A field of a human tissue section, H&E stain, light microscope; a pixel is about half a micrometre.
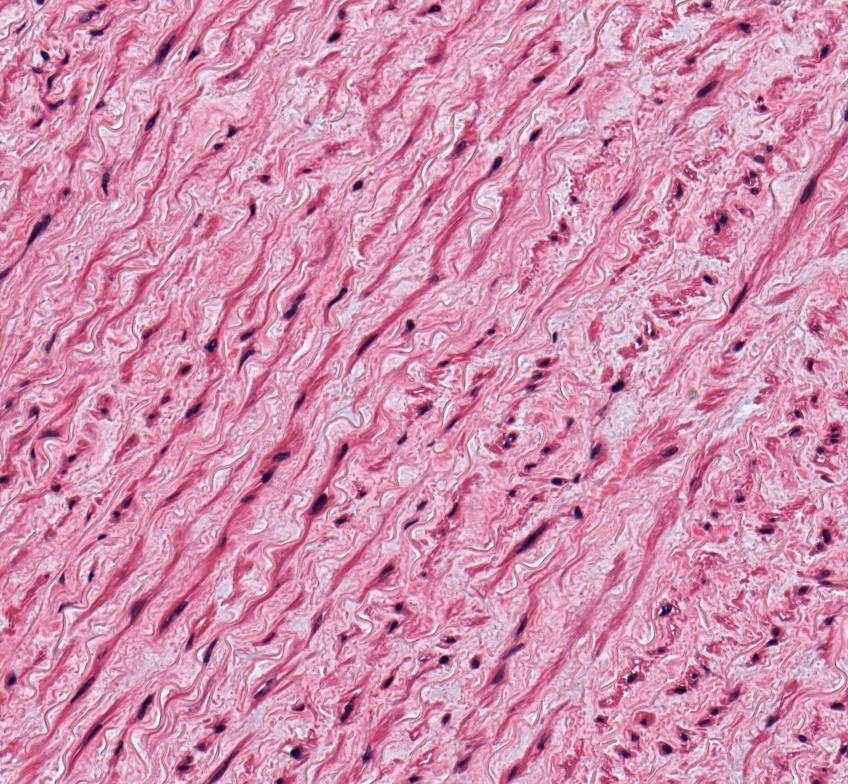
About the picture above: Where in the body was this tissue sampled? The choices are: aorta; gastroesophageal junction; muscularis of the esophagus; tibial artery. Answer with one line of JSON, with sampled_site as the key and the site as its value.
{"sampled_site": "aorta"}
